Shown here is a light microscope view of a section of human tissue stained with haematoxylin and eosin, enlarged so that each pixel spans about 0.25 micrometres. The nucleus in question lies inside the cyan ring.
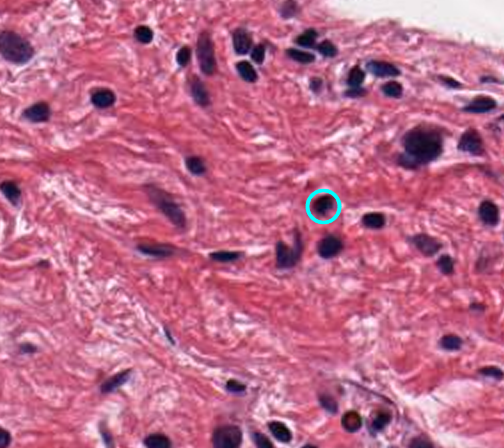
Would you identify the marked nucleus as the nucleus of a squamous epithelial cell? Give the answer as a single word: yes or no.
no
